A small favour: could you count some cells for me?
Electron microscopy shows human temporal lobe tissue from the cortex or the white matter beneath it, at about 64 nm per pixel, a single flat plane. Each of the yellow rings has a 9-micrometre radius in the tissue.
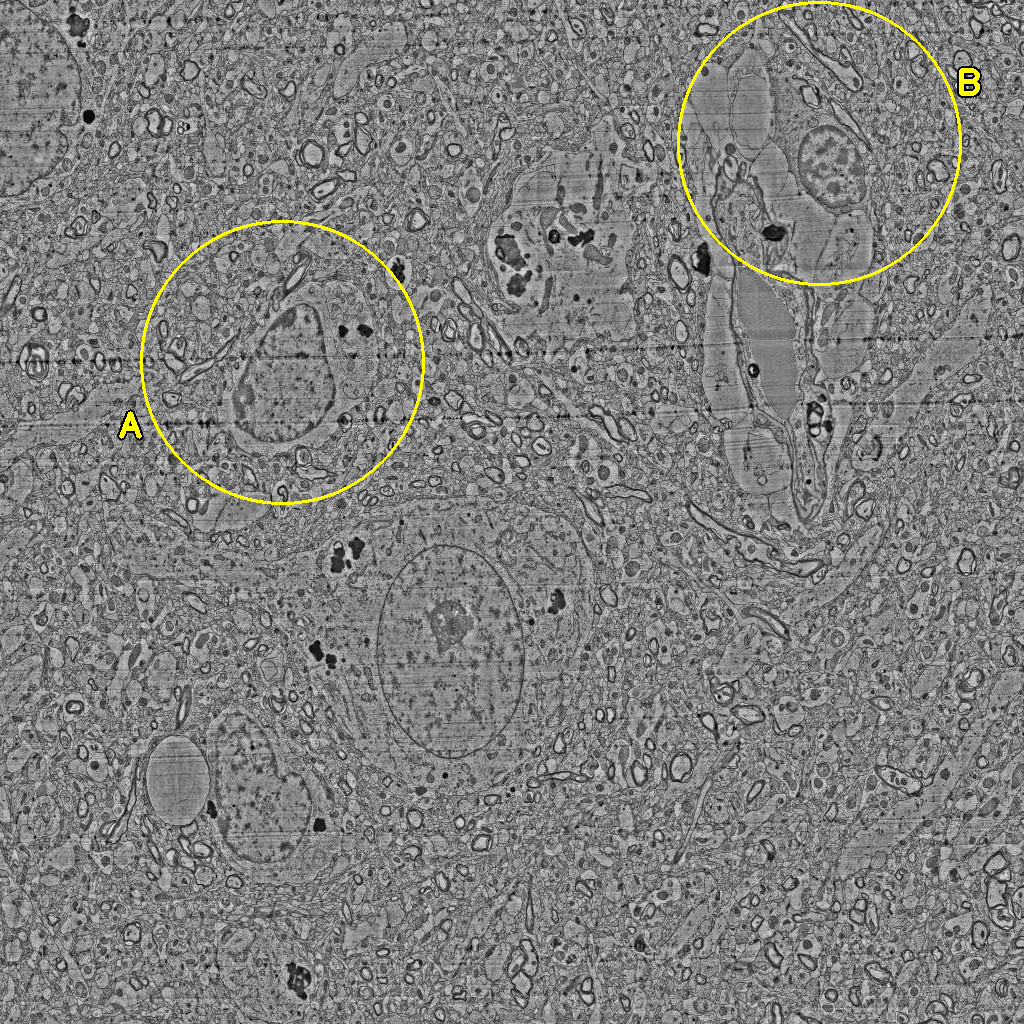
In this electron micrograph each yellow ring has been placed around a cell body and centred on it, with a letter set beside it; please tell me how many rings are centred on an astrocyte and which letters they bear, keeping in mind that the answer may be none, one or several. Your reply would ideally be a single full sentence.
The number of rings centred on an astrocyte is zero.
